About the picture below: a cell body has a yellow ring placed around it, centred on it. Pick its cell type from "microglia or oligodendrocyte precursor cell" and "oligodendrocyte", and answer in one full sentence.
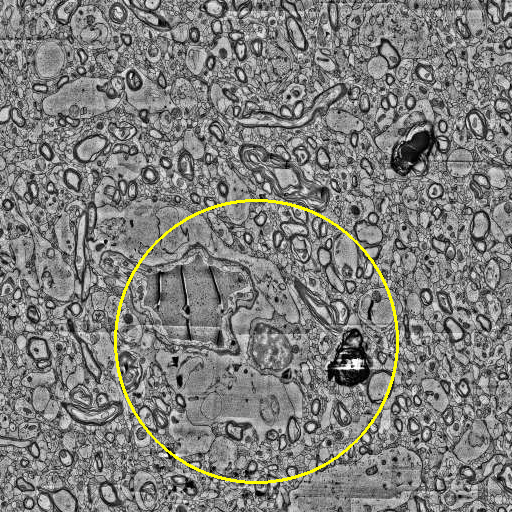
In the picture, an oligodendrocyte is the cell sitting at the centre of the yellow ring.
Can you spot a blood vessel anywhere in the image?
Yes, one appears.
